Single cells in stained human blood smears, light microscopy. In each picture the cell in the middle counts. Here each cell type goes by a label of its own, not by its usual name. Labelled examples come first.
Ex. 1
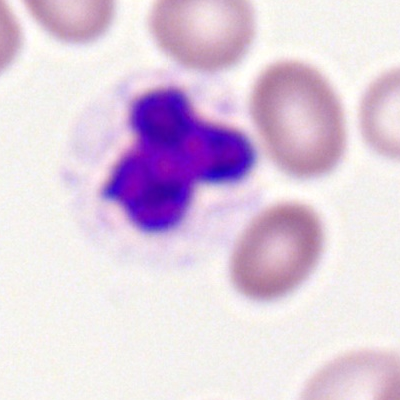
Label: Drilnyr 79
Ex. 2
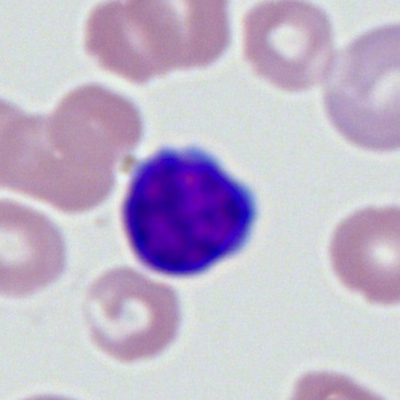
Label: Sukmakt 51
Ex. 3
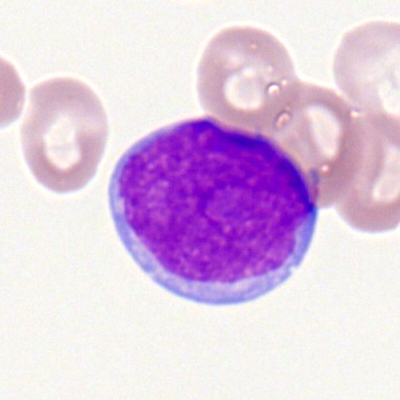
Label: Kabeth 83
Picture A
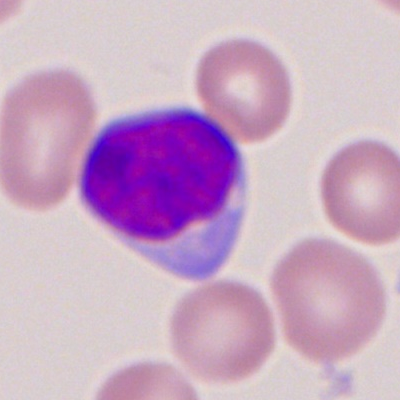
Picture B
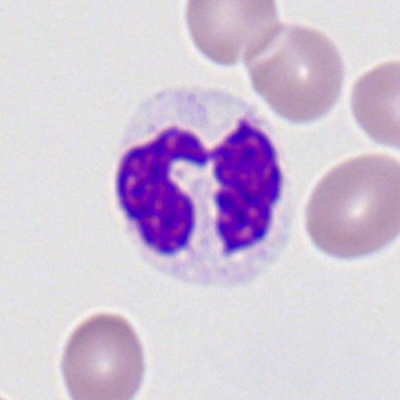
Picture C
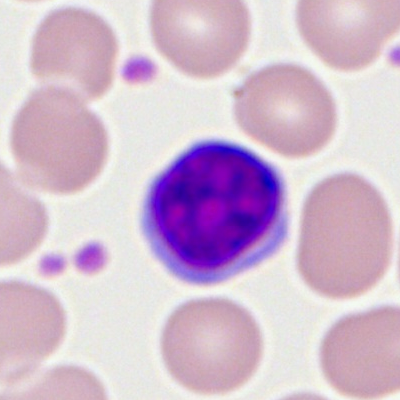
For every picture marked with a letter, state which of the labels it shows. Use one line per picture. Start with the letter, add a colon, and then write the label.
A: Sukmakt 51
B: Drilnyr 79
C: Sukmakt 51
